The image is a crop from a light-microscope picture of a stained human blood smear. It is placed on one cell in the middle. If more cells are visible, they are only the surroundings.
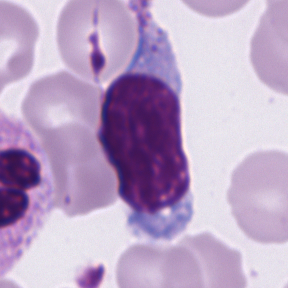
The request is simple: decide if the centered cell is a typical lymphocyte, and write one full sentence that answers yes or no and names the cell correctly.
Yes, the cell found at the centre of the crop is a typical lymphocyte.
